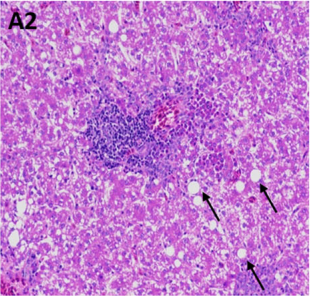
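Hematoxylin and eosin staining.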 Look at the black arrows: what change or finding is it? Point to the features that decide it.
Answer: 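Cellular vacuolization. A few round, clear, unstained spaces lie among the pink hepatocytes. The spaces are sharply rounded, unlike the slit-like sinusoids.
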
